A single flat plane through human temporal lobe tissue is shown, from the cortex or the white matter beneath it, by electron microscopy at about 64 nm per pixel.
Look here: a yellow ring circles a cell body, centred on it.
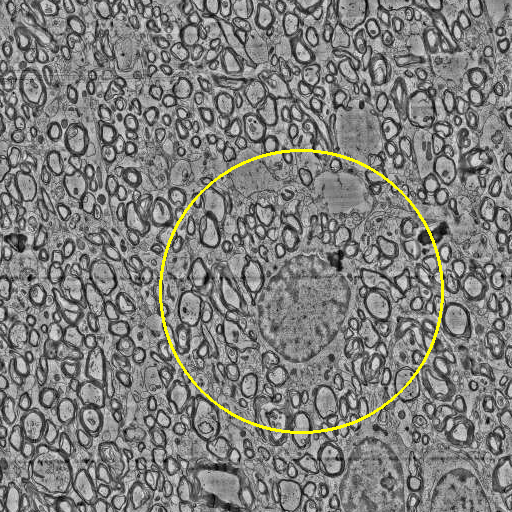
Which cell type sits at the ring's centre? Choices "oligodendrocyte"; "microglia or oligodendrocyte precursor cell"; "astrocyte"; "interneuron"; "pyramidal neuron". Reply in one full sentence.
The cell at the centre of the yellow ring in the picture is an oligodendrocyte.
